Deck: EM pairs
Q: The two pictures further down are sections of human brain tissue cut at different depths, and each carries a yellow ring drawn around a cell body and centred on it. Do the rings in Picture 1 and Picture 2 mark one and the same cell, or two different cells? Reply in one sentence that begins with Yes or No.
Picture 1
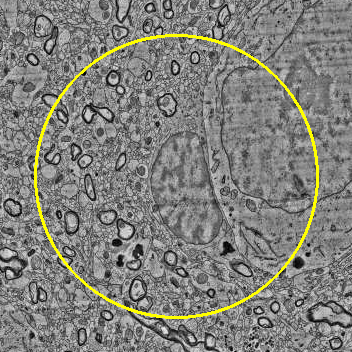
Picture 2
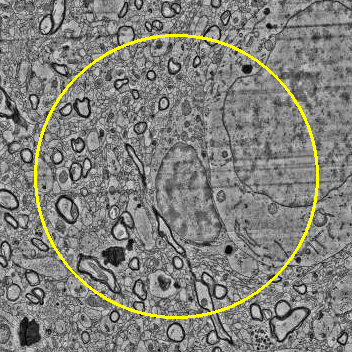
Yes, the same cell appears within both yellow rings.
